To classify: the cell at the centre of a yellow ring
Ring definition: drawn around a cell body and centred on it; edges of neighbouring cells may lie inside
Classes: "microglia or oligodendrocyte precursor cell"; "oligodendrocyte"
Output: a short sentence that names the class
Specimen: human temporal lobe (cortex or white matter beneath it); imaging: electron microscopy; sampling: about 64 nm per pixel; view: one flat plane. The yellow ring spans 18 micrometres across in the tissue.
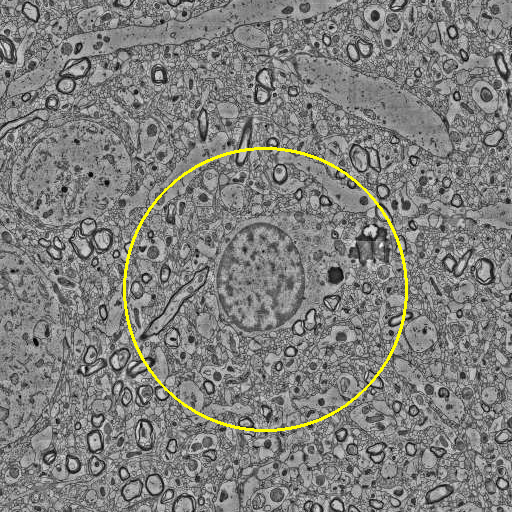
The ringed cell is an oligodendrocyte.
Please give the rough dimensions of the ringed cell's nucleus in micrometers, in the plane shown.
Approximately 7 by 6 micrometers in this plane.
